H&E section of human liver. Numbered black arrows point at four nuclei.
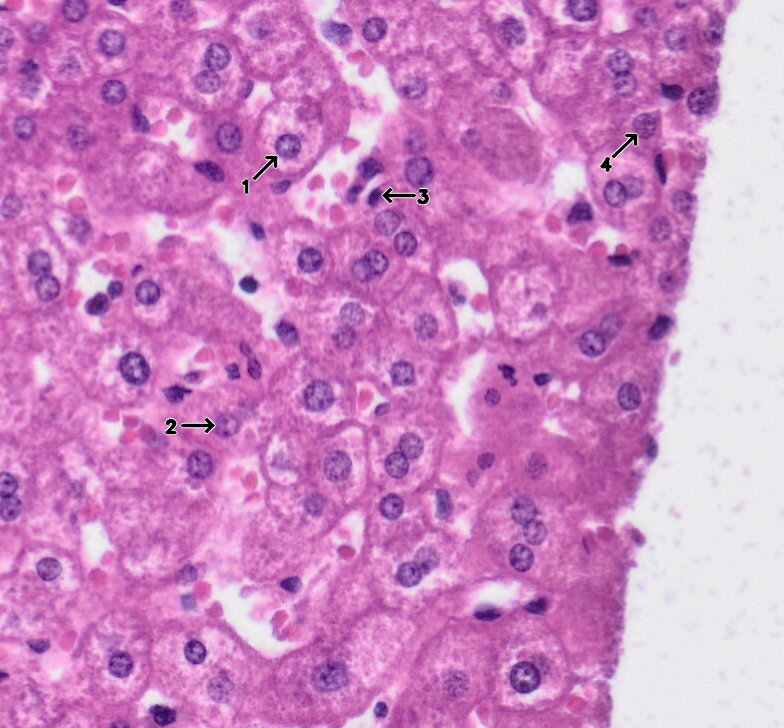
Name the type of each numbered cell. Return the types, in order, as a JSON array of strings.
["hepatocyte", "hepatocyte", "fibroblast or stellate cell", "hepatocyte"]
